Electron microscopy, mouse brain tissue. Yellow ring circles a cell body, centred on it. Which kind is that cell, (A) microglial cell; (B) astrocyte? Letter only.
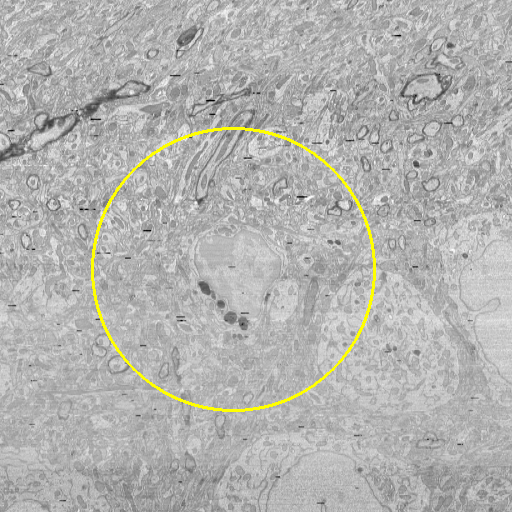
A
